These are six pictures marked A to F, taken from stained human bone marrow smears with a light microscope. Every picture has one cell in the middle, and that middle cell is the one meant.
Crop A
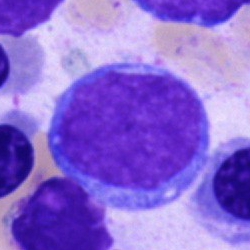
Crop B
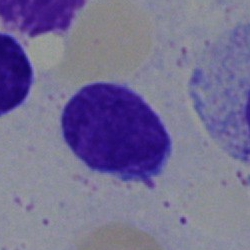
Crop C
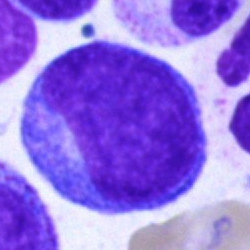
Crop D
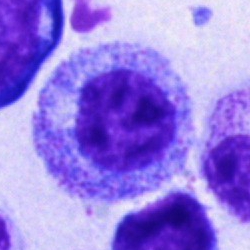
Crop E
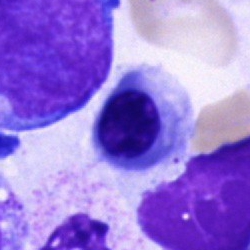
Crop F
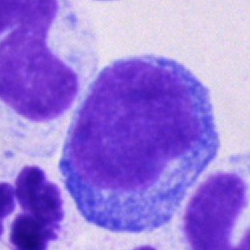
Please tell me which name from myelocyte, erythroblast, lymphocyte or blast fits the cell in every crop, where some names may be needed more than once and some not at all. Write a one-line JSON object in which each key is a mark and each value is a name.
{"A": "blast", "B": "lymphocyte", "C": "blast", "D": "myelocyte", "E": "erythroblast", "F": "blast"}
